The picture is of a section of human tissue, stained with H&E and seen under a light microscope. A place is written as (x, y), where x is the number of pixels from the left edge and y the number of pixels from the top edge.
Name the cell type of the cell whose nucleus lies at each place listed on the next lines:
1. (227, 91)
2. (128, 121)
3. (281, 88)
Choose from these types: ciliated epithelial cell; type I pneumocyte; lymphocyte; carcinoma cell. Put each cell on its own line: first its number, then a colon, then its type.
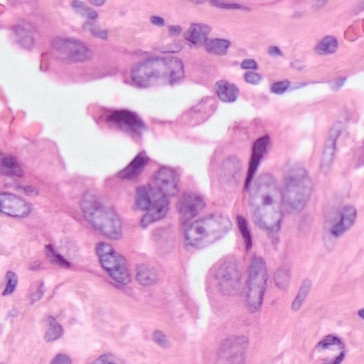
1: lymphocyte
2: carcinoma cell
3: lymphocyte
